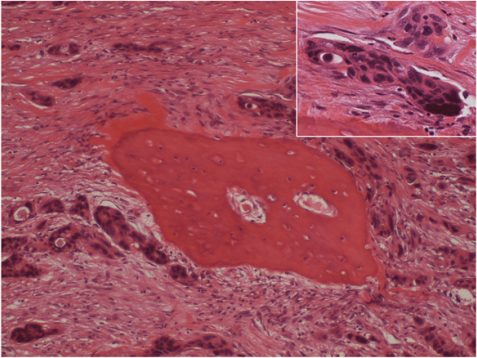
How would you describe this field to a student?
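A small island of bone lies in dense fibrous stroma, with nests of tumor cells directly beside it. The bone forms a homogeneous, glassy pink matrix in which osteocytes sit singly in small lacunae, with two small canal-like openings inside. The edge of the bony island is not lined by a row of plump cells. Around it, spindle-shaped fibroblast-like cells run in streams, and tumor cells form small dark-staining cords and nests, some with little round lumina. The inset shows these tumor cells at higher magnification, with enlarged, dark, irregular nuclei and a small lumen.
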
